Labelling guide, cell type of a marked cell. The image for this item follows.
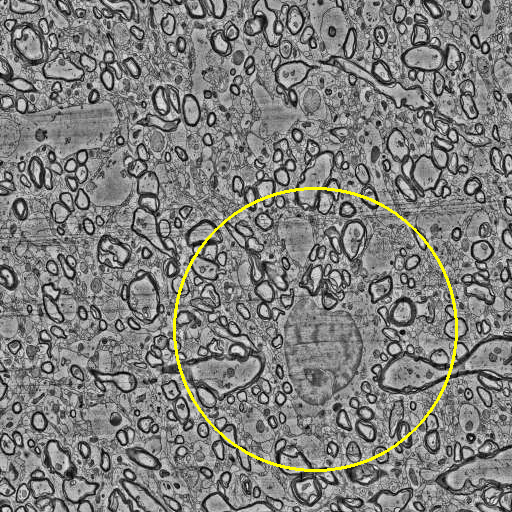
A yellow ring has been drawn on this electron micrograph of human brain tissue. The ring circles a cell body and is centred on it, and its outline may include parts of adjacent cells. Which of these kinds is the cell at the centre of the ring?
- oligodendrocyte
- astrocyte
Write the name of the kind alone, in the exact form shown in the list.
oligodendrocyte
